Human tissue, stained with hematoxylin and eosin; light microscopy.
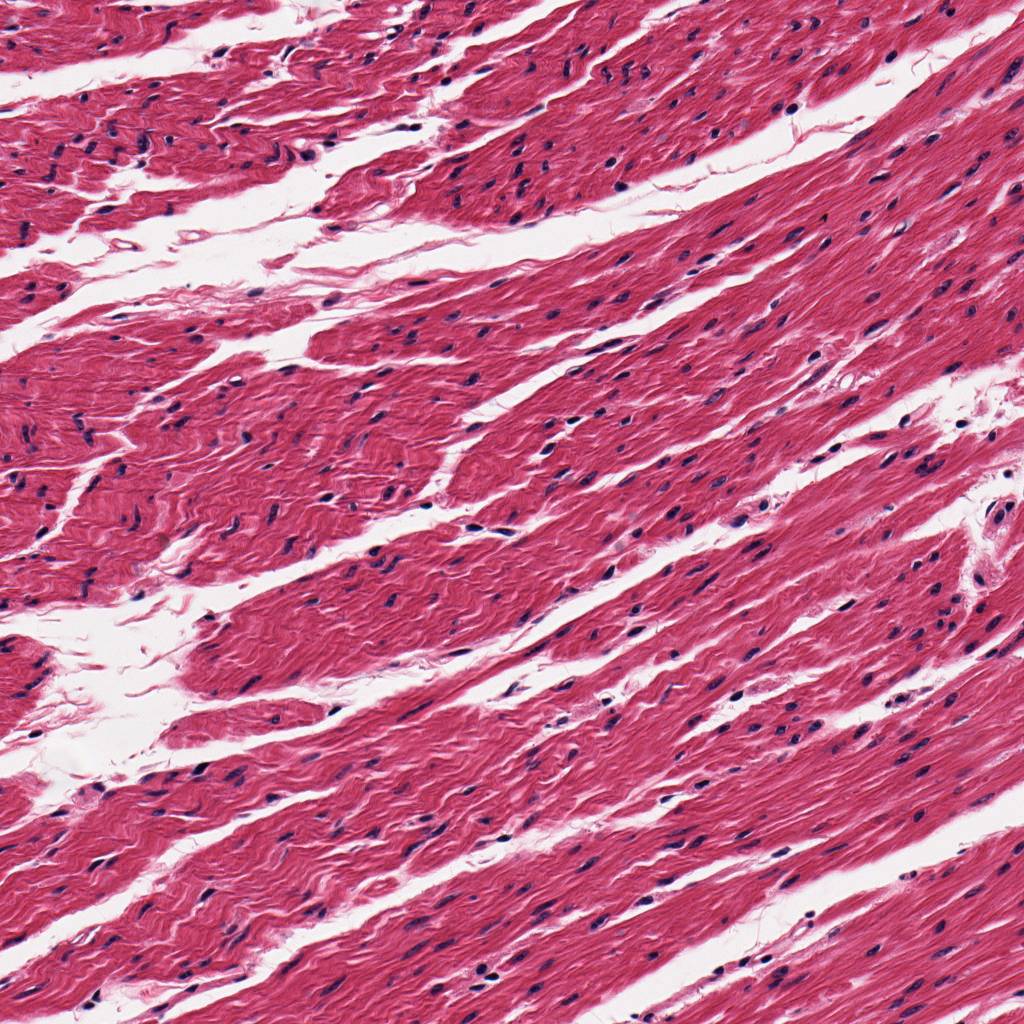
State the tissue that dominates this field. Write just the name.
smooth muscle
